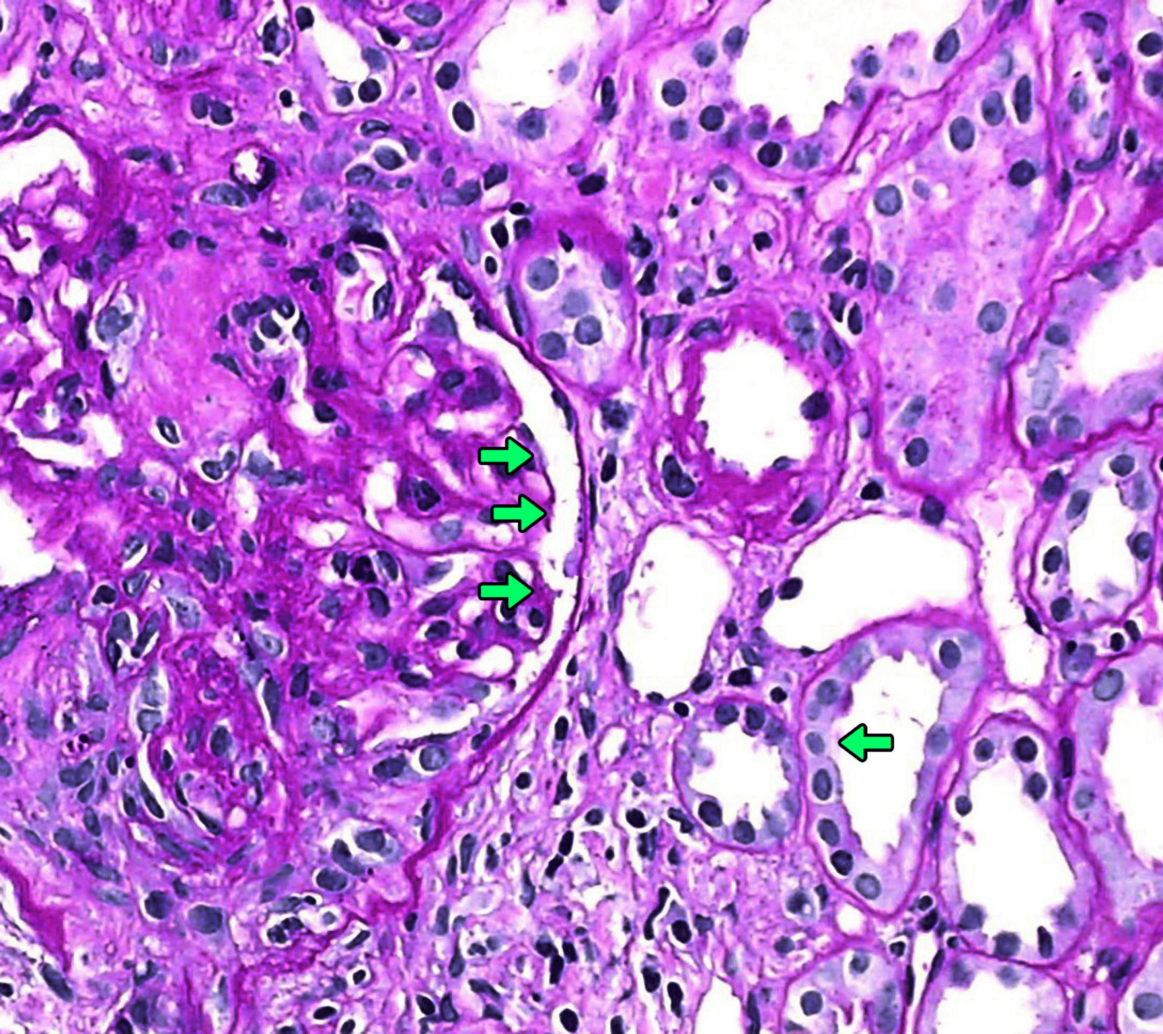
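Renal cortex with a glomerulus whose tuft is crowded with many nuclei, and a thin curved clear space along its right edge bounded by a thin magenta line. Around it lie tubules cut in cross-section, lined by cuboidal epithelial cells with round dark nuclei and pale pink cytoplasm on magenta basement membranes, some with wide open lumens. The interstitium between the glomerulus and the tubules holds many scattered small nuclei.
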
